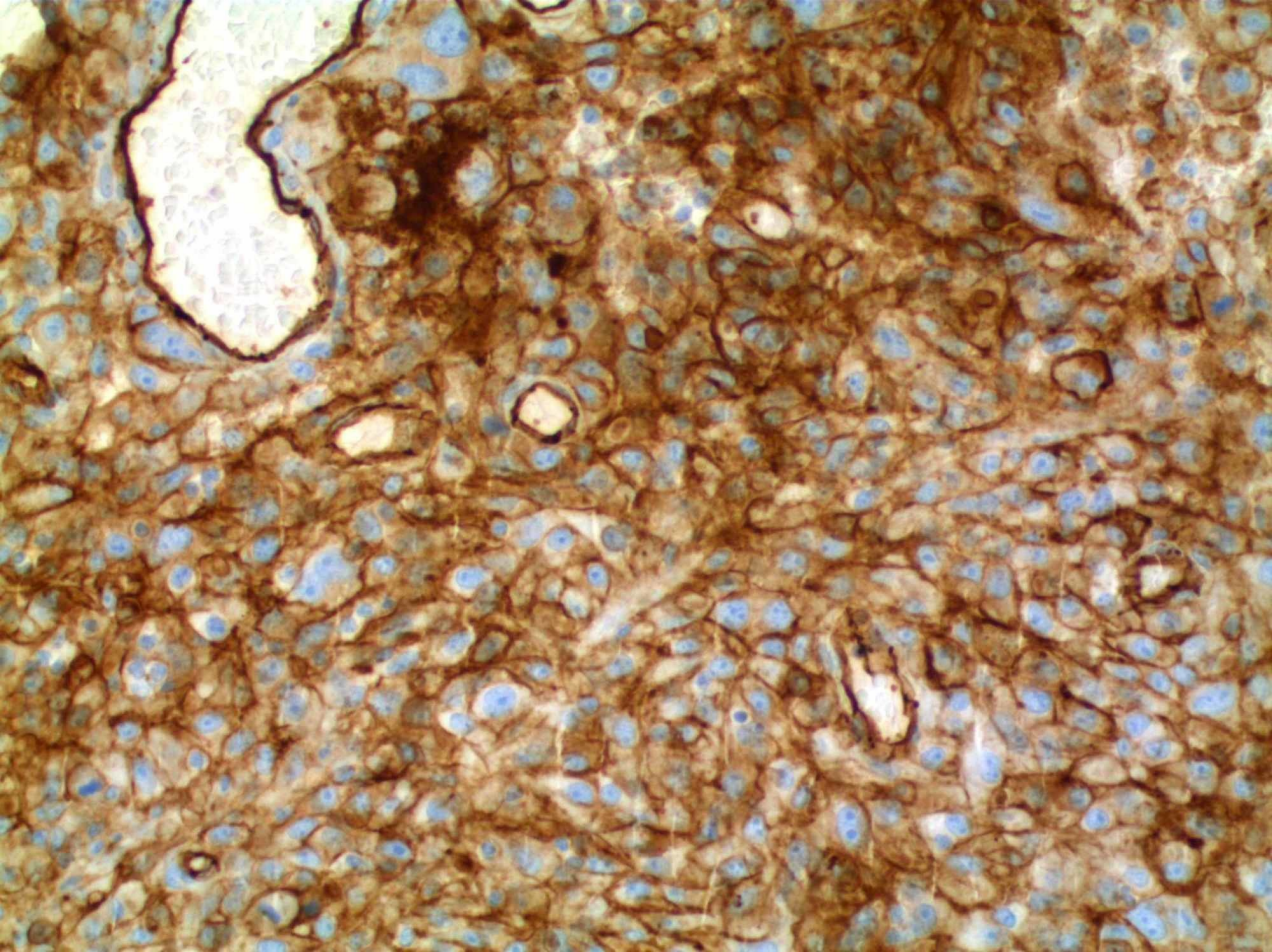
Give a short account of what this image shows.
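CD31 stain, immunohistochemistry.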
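Densely cellular tumor made of closely packed tumor cells that form solid sheets, with no normal tissue architecture between them. The cells range from polygonal to spindled, with oval to elongated pale blue nuclei of varying size, some showing small nucleoli. Brown chromogen strongly outlines the cell membranes, producing a mesh-like pattern, and there is lighter brown staining of the cytoplasm, heavier in places. A larger vascular channel at upper left, lined by a thin dark brown layer, contains pale red blood cells. Scattered small round lumina with brown rims and pale contents lie among the tumor cells.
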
